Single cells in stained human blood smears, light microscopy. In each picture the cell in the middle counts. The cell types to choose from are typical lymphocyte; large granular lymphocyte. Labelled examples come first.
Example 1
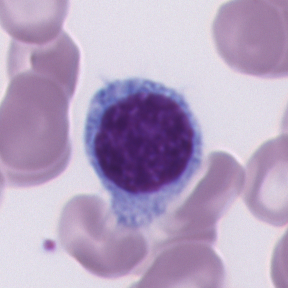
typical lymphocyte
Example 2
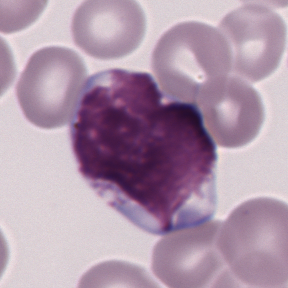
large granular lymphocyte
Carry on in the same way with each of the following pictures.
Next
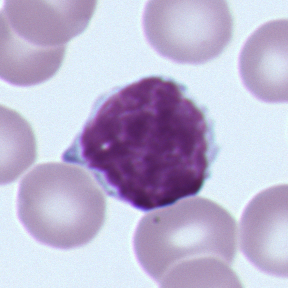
typical lymphocyte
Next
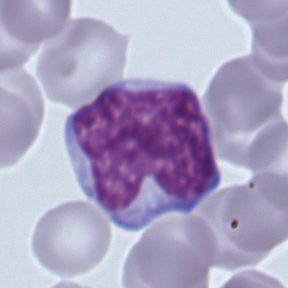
typical lymphocyte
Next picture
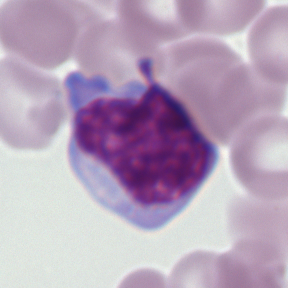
large granular lymphocyte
